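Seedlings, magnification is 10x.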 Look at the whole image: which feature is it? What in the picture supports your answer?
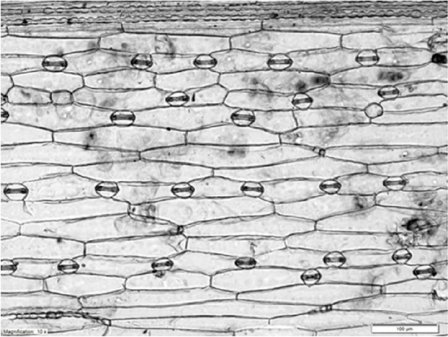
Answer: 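Stomata. Paired oval bodies with a central slit are scattered among the epidermal cells. They lie in rows between elongated epidermal cells.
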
